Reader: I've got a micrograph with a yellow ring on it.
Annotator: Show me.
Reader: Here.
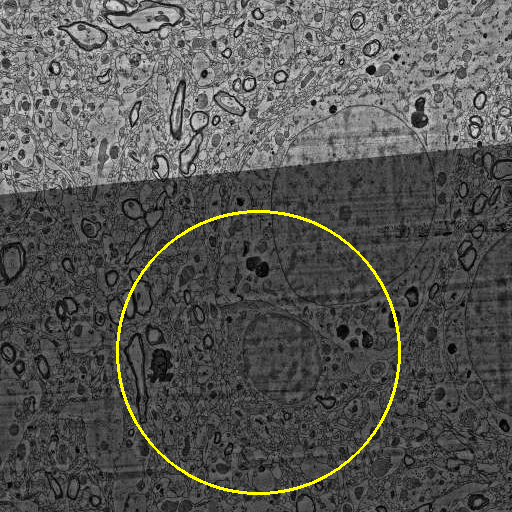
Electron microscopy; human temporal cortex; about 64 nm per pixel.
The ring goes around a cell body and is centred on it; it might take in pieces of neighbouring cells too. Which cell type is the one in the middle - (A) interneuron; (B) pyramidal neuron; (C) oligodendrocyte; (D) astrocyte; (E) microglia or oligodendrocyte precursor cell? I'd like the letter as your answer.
C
